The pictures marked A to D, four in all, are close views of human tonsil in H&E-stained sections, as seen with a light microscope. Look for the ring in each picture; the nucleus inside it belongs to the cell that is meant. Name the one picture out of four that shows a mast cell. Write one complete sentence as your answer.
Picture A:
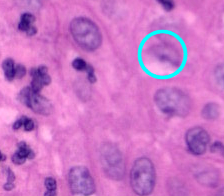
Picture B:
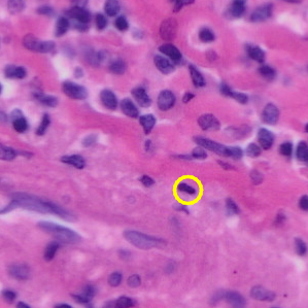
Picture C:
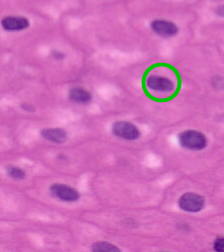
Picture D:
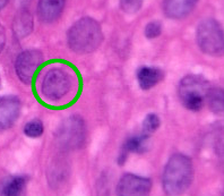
Picture B shows the mast cell.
